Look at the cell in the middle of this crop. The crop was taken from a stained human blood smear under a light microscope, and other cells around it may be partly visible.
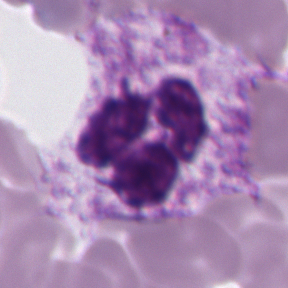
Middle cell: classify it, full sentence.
The single cell at the center of the crop is a segmented neutrophil.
